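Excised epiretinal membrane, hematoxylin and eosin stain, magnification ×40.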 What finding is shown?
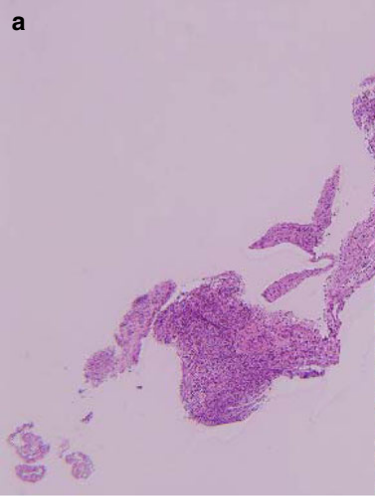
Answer: abundant inflammatory cells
